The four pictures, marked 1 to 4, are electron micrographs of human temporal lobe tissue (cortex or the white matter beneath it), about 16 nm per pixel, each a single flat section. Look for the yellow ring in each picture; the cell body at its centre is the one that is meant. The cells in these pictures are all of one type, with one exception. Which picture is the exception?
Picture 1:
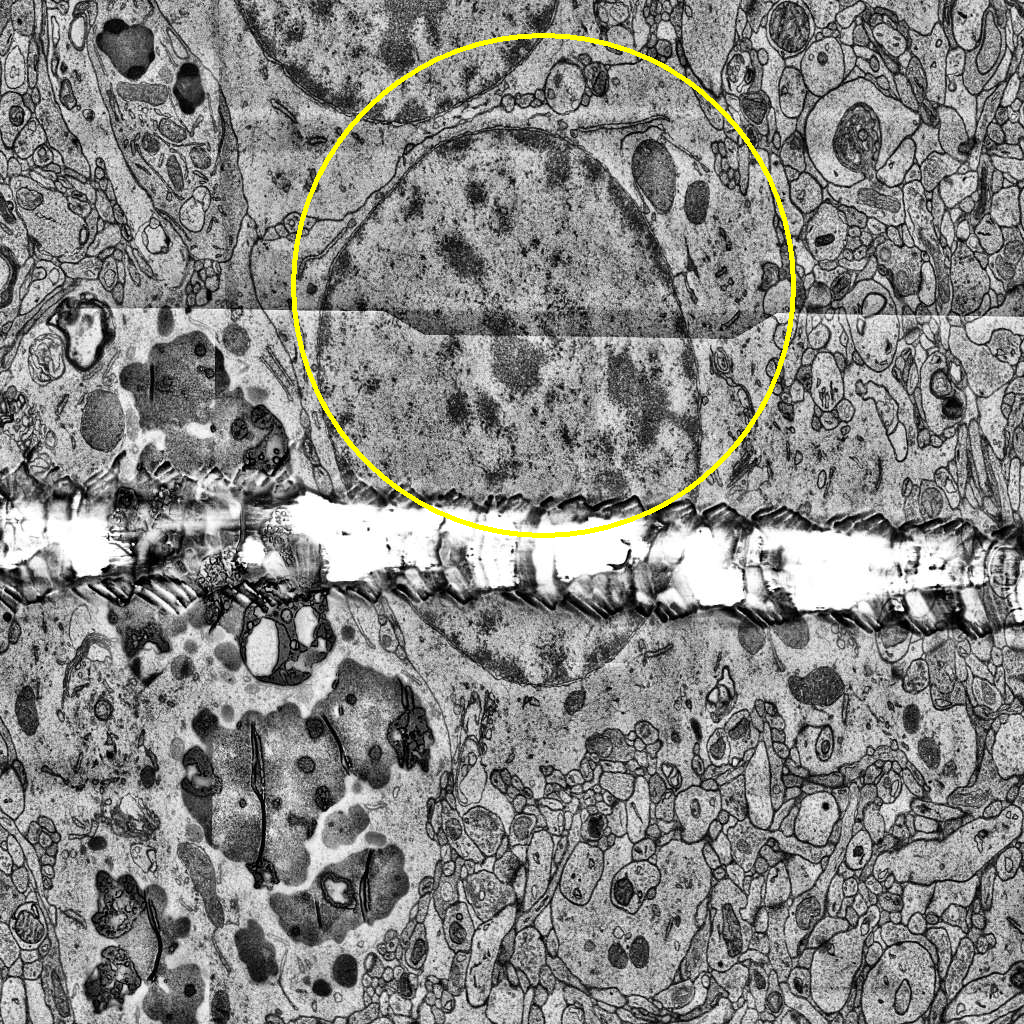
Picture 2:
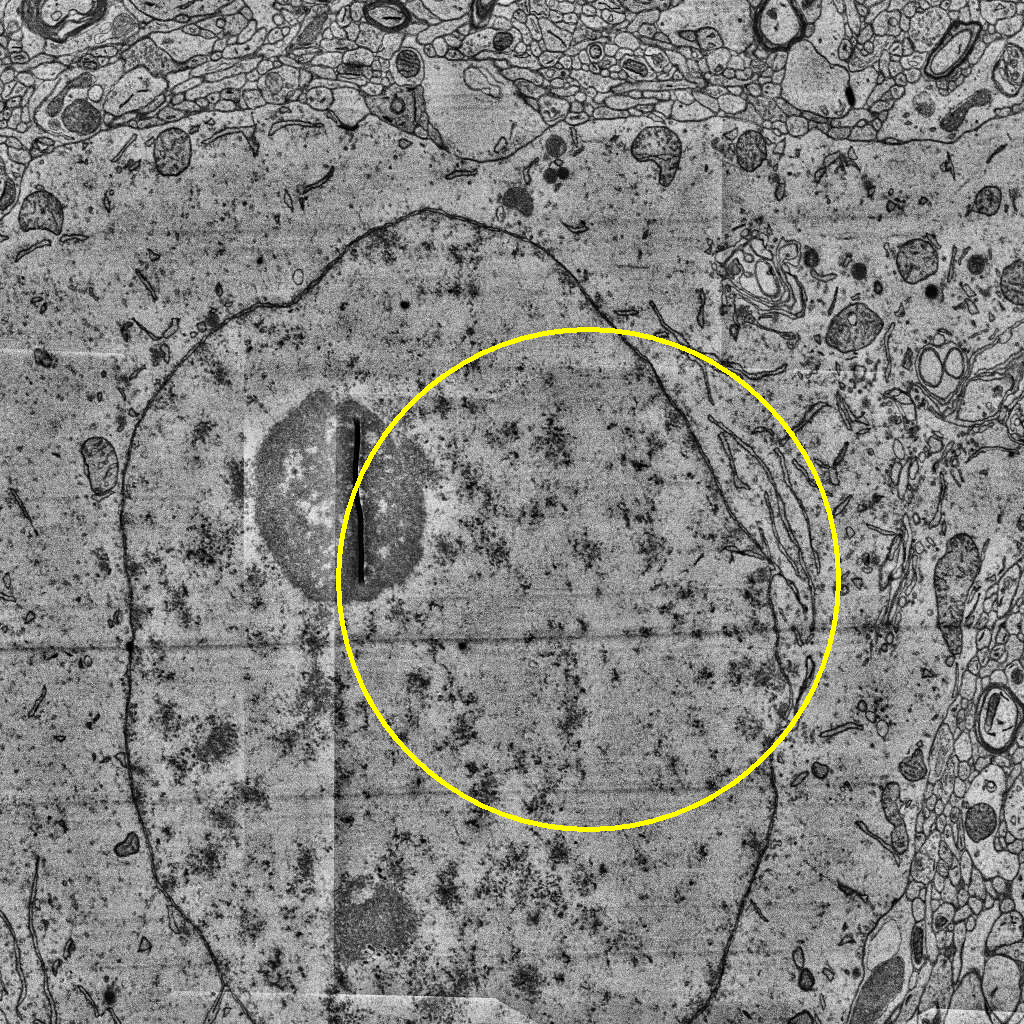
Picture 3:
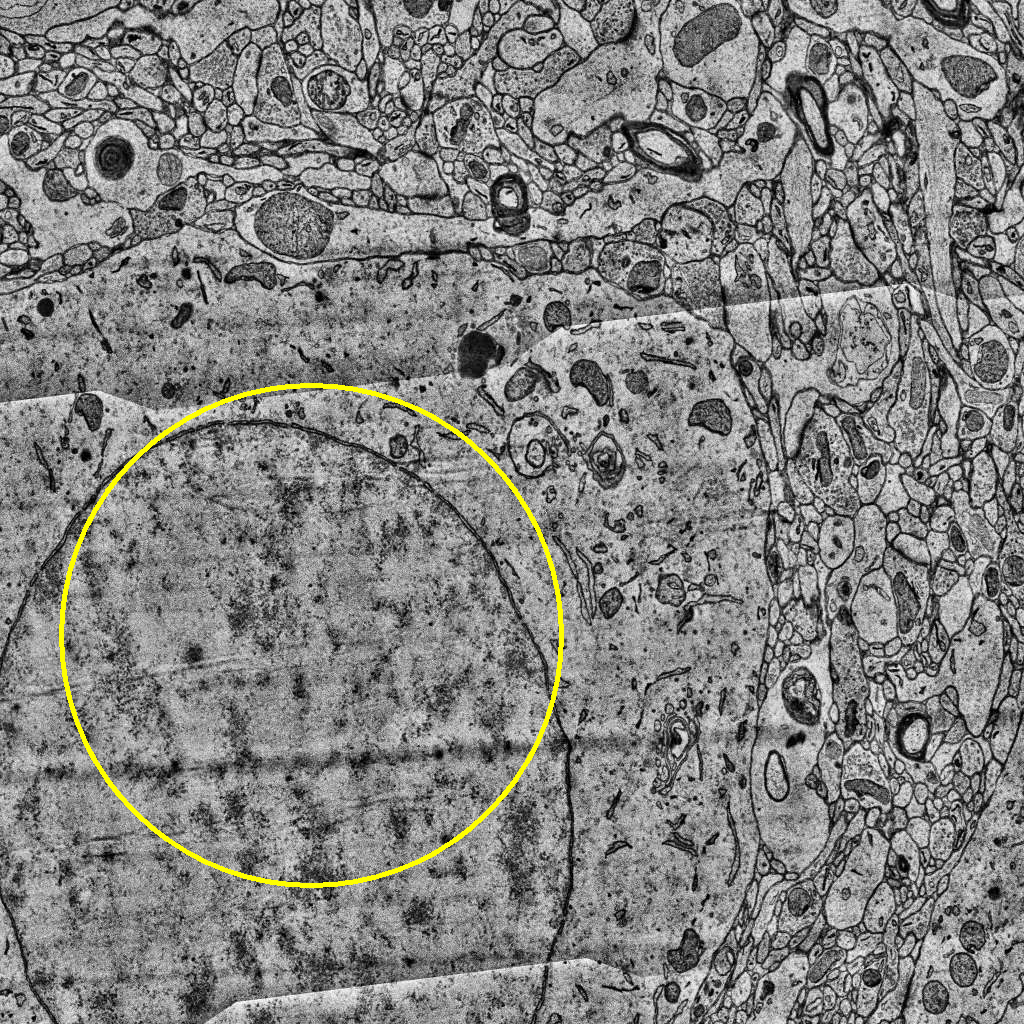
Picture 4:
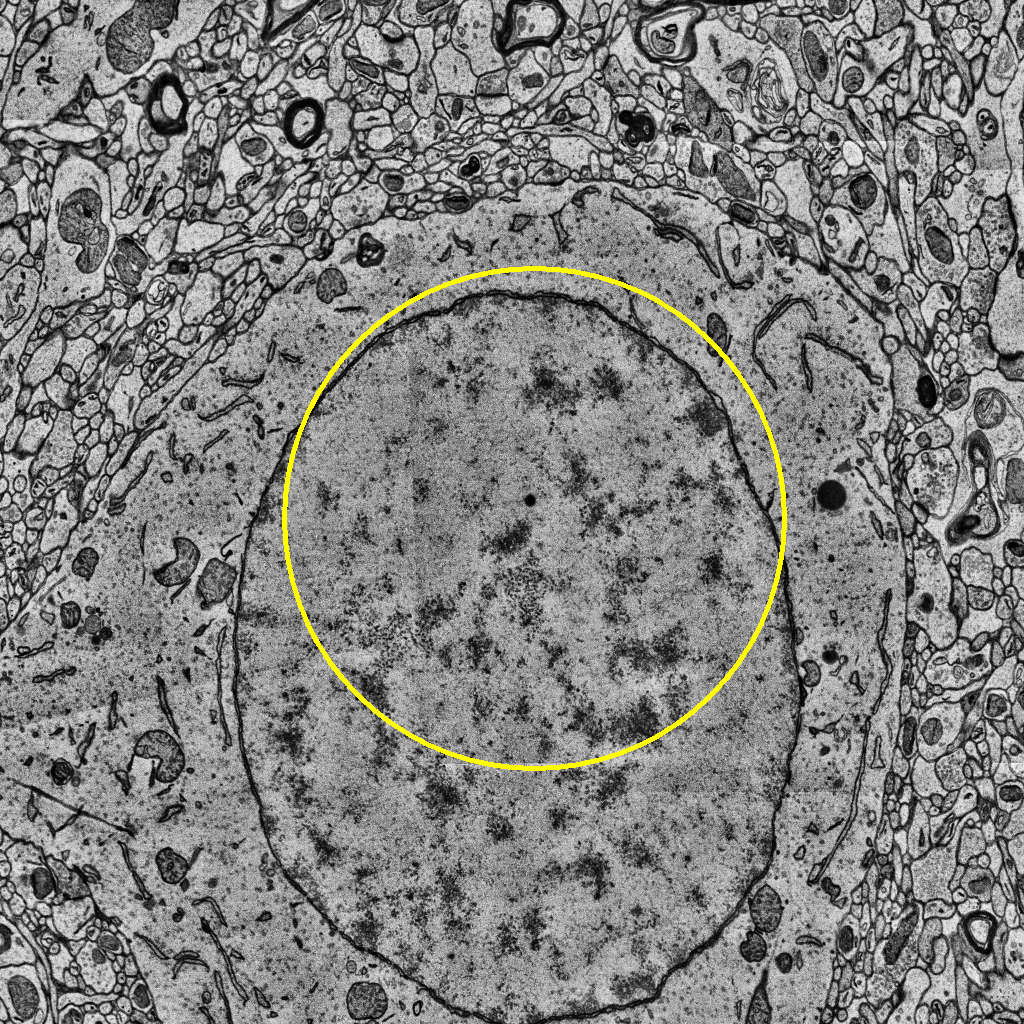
Picture 1 is the odd one out: it shows an astrocyte, while the others show pyramidal neurons.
